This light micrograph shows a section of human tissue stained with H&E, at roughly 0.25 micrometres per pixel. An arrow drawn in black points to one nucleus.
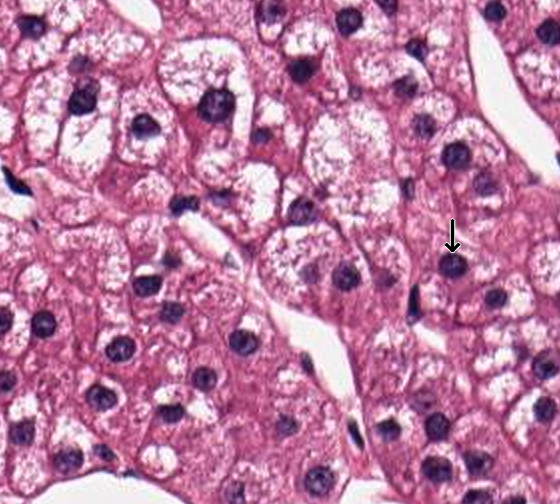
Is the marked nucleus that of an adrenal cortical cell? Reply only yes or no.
yes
